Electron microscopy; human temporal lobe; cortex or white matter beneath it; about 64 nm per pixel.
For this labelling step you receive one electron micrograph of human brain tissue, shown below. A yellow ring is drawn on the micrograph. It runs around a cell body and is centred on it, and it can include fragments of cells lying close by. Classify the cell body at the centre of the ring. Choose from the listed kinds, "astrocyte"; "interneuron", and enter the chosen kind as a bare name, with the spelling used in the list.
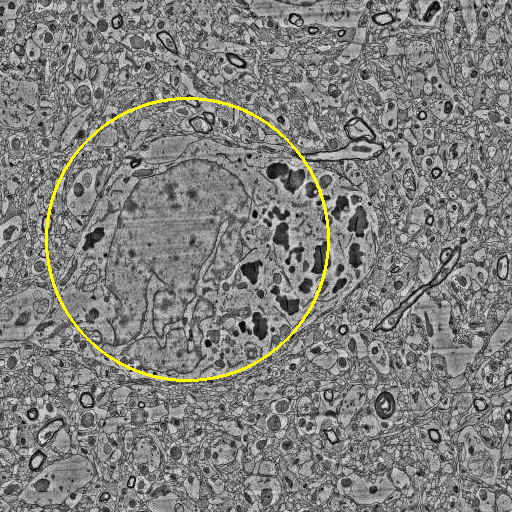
interneuron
